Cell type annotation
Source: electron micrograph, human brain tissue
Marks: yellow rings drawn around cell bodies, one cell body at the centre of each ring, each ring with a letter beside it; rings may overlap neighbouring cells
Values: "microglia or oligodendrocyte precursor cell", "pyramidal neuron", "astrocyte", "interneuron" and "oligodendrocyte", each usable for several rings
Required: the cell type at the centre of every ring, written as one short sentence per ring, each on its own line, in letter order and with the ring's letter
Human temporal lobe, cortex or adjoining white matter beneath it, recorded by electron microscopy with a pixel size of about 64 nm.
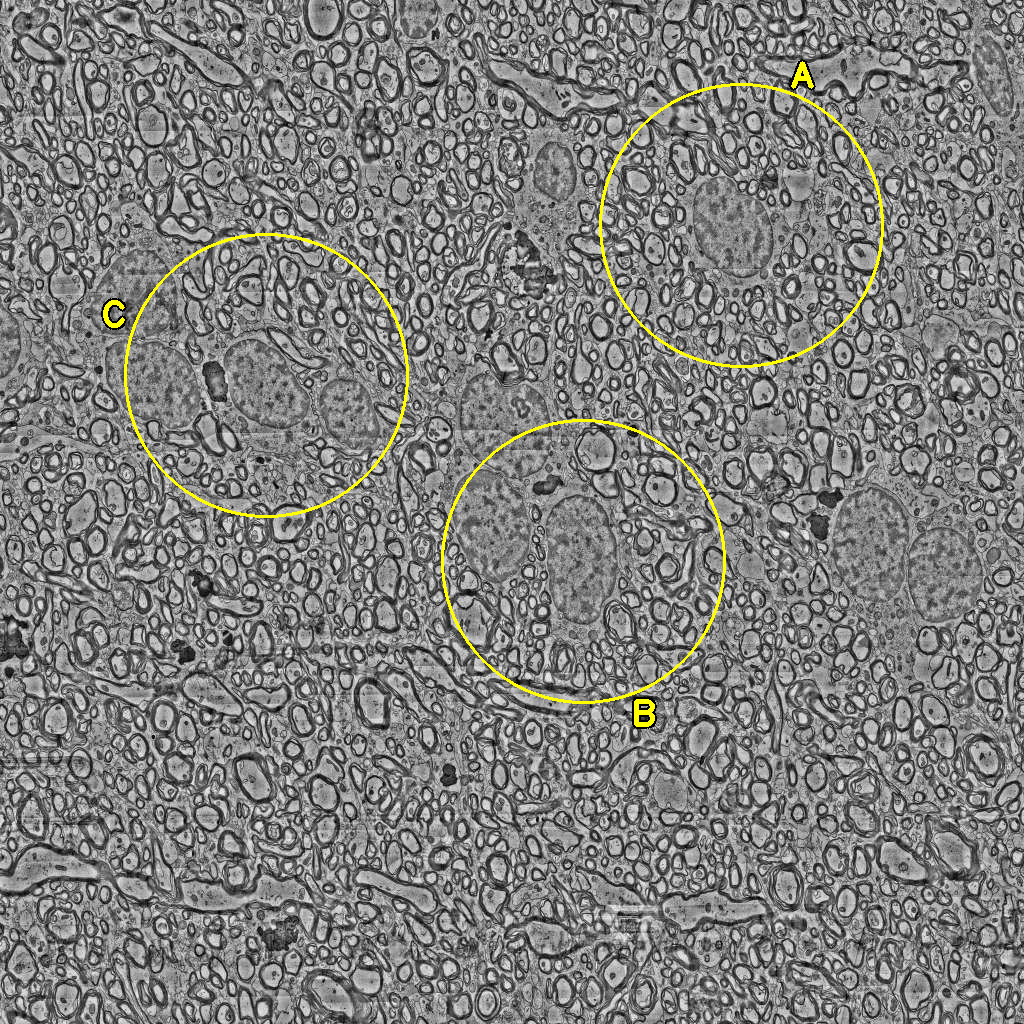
Ring A is annotated as an oligodendrocyte.
Ring B is annotated as an oligodendrocyte.
Ring C is annotated as an oligodendrocyte.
